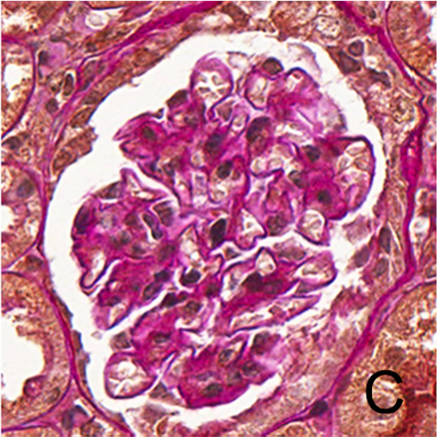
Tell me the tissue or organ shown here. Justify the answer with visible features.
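A lobulated tuft of magenta-outlined capillary loops sits in a clear space. A thin magenta capsule encloses the tuft. Tubules with magenta basement membranes surround it. The answer: glomeruli.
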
